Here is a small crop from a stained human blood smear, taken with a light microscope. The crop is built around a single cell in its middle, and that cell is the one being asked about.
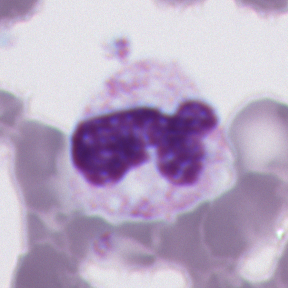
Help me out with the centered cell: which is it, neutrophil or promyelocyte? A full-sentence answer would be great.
The cell centred in this crop is categorized as a neutrophil.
